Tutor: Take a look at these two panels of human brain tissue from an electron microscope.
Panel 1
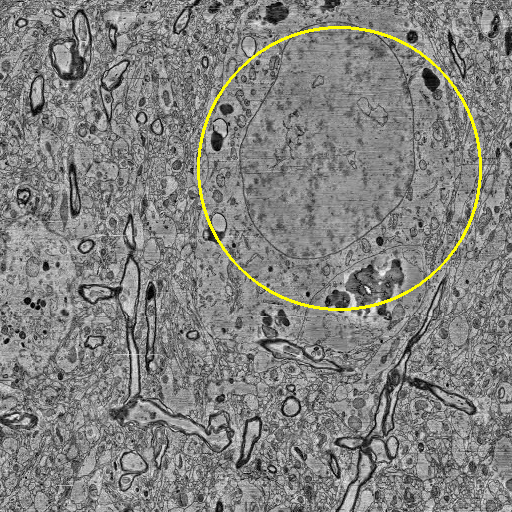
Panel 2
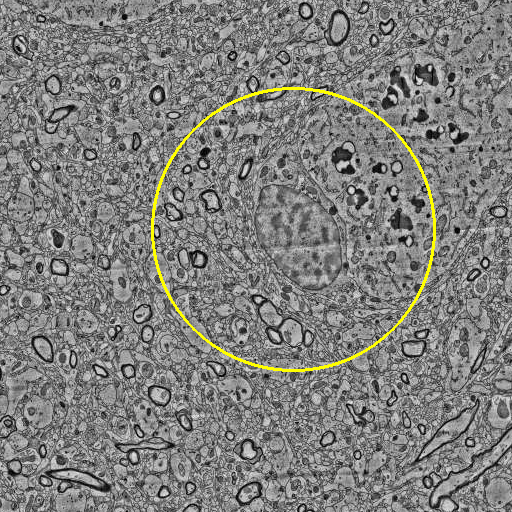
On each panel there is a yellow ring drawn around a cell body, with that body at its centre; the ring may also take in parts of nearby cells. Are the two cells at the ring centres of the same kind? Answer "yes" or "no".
no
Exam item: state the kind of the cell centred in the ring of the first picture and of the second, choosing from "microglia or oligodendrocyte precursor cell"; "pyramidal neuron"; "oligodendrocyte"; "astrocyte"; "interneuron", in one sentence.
The first picture shows a pyramidal neuron at the ring centre and the second shows an oligodendrocyte.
